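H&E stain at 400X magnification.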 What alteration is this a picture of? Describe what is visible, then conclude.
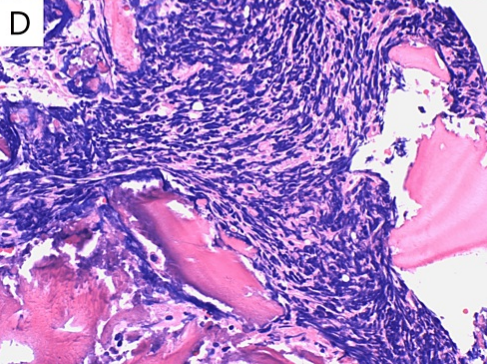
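Markedly hypercellular bone marrow. Pink bony trabeculae are surrounded by densely packed cells. The spaces between the trabeculae are filled by cells with no fat spaces.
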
